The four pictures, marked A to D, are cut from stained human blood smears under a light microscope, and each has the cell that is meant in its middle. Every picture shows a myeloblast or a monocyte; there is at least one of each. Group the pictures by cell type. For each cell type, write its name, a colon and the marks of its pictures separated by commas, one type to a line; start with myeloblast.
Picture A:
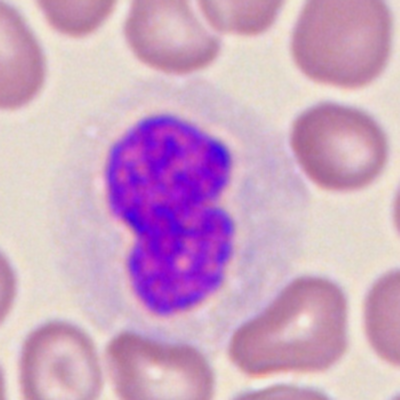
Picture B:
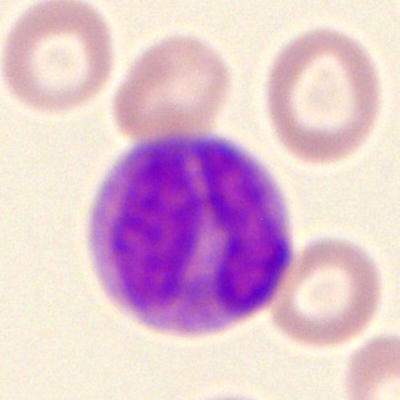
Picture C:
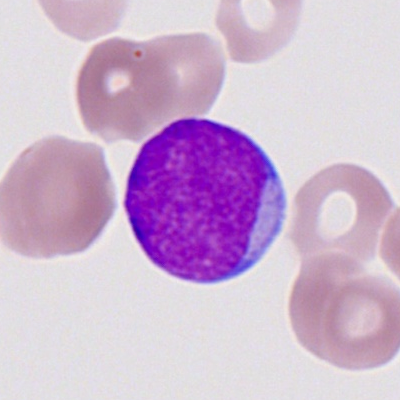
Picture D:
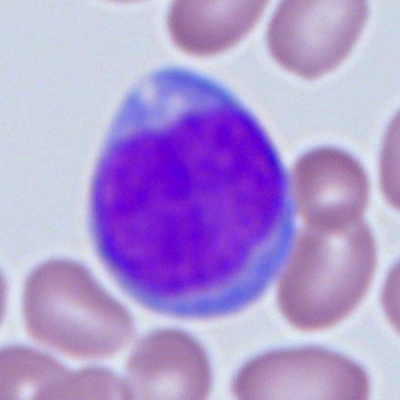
myeloblast: C, D
monocyte: A, B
